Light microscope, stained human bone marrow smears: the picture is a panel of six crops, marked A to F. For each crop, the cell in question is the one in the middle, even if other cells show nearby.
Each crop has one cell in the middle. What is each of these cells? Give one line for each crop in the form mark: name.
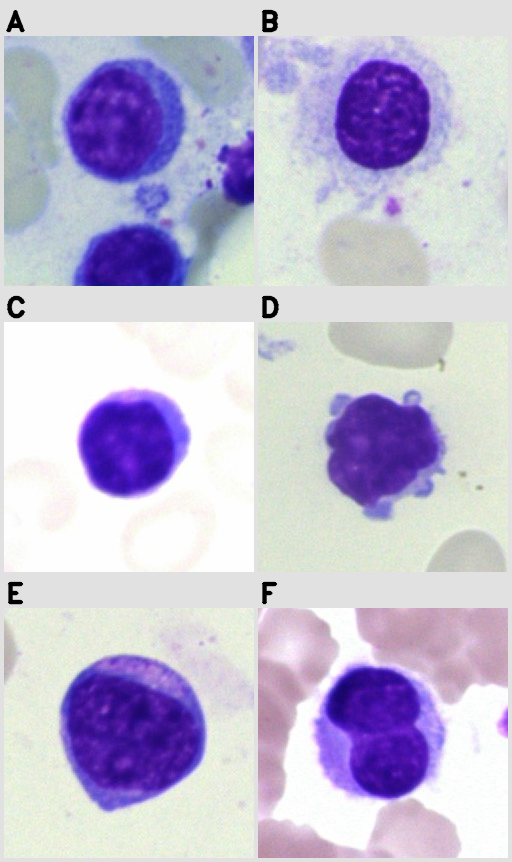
A: lymphocyte
B: hairy cell
C: lymphocyte
D: lymphocyte
E: blast
F: hairy cell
